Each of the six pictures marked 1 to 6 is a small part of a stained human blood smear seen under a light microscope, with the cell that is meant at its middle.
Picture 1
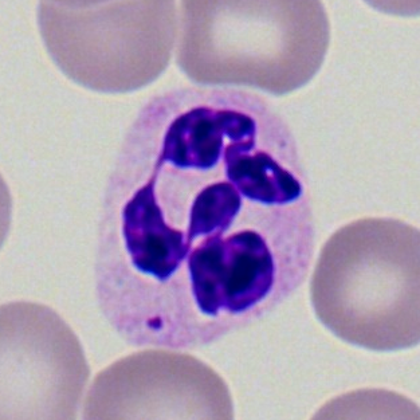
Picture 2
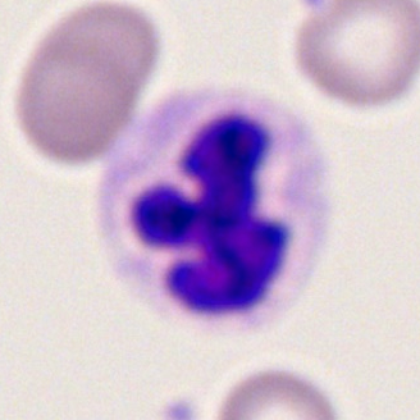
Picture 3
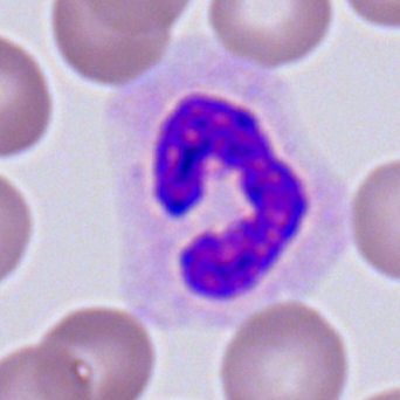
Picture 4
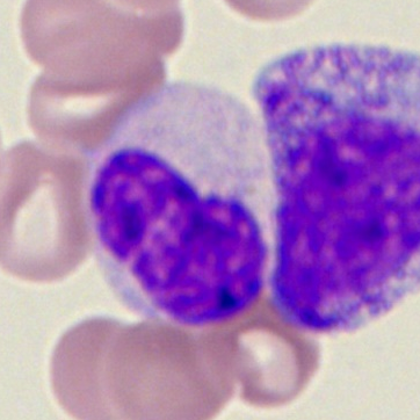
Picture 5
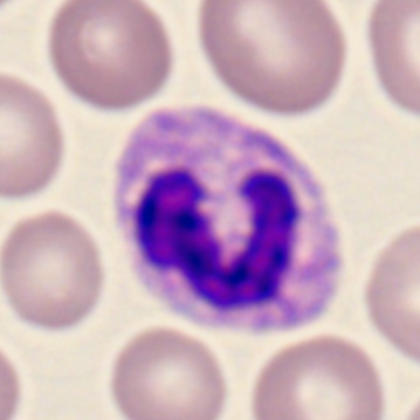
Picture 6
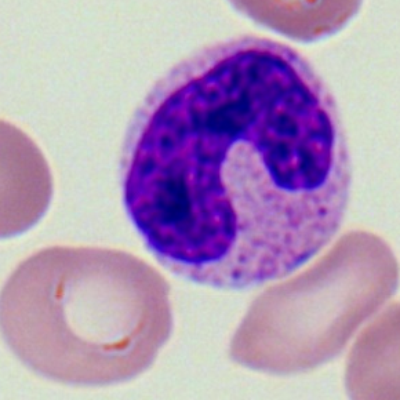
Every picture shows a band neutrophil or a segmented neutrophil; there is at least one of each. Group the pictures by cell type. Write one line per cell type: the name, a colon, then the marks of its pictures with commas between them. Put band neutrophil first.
band neutrophil: 3, 4, 5, 6
segmented neutrophil: 1, 2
